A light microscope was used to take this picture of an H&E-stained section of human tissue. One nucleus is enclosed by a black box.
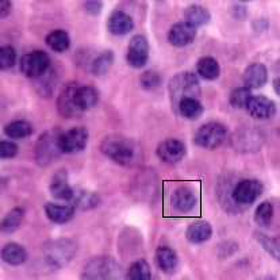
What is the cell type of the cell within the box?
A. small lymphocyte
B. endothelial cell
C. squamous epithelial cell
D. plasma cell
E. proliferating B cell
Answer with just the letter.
D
